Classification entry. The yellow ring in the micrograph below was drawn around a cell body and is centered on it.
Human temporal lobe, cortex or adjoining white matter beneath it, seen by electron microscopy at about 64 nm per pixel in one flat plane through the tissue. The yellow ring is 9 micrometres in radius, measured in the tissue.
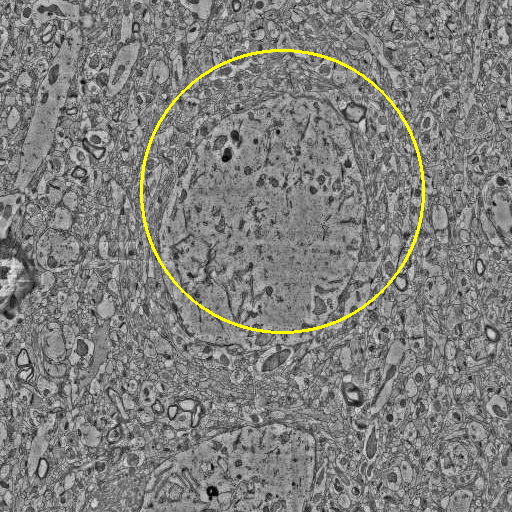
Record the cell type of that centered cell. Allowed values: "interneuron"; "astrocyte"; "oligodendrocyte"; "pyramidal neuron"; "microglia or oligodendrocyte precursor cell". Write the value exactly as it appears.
pyramidal neuron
